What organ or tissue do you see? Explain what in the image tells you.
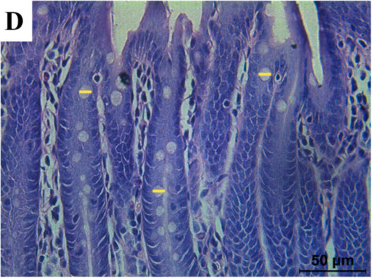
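Long, parallel finger-like projections are covered by a single layer of tall columnar cells. Pale rounded cells are interspersed within this lining. That points to this answer: intestinal epithelium.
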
